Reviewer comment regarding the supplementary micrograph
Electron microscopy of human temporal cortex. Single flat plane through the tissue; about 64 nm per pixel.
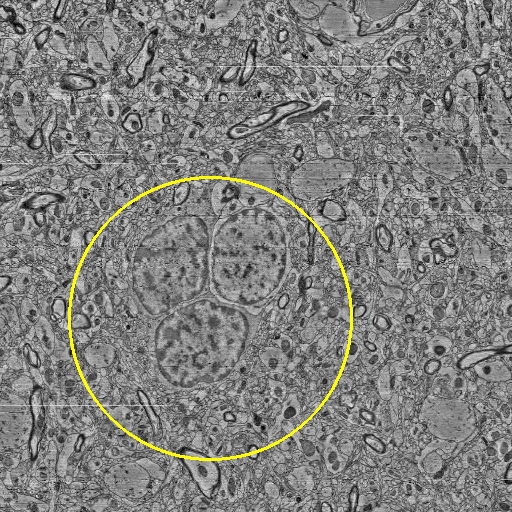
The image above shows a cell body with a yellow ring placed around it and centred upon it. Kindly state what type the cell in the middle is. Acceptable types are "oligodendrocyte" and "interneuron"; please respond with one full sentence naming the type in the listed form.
In the image above, the cell on which the yellow ring is centred is an oligodendrocyte.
